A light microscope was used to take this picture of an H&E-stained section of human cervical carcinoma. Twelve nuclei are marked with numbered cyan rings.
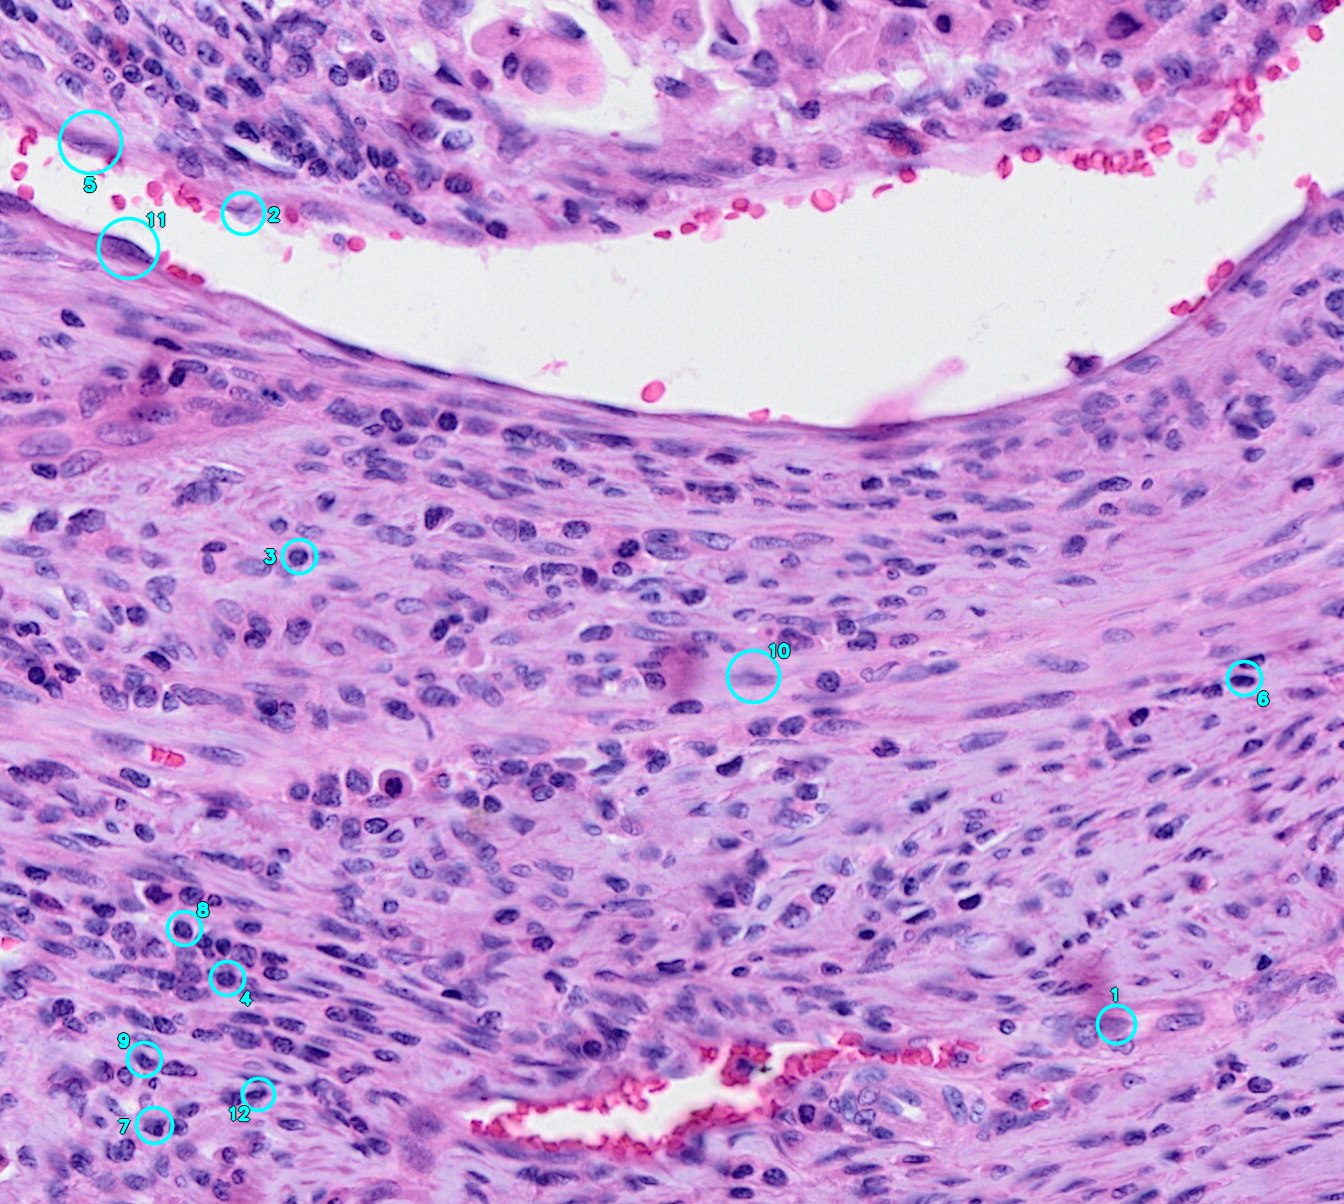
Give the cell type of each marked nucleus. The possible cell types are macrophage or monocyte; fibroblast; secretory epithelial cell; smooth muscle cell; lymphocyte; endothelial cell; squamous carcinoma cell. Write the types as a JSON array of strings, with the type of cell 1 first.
["endothelial cell", "endothelial cell", "lymphocyte", "lymphocyte", "endothelial cell", "lymphocyte", "lymphocyte", "lymphocyte", "lymphocyte", "fibroblast", "endothelial cell", "lymphocyte"]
